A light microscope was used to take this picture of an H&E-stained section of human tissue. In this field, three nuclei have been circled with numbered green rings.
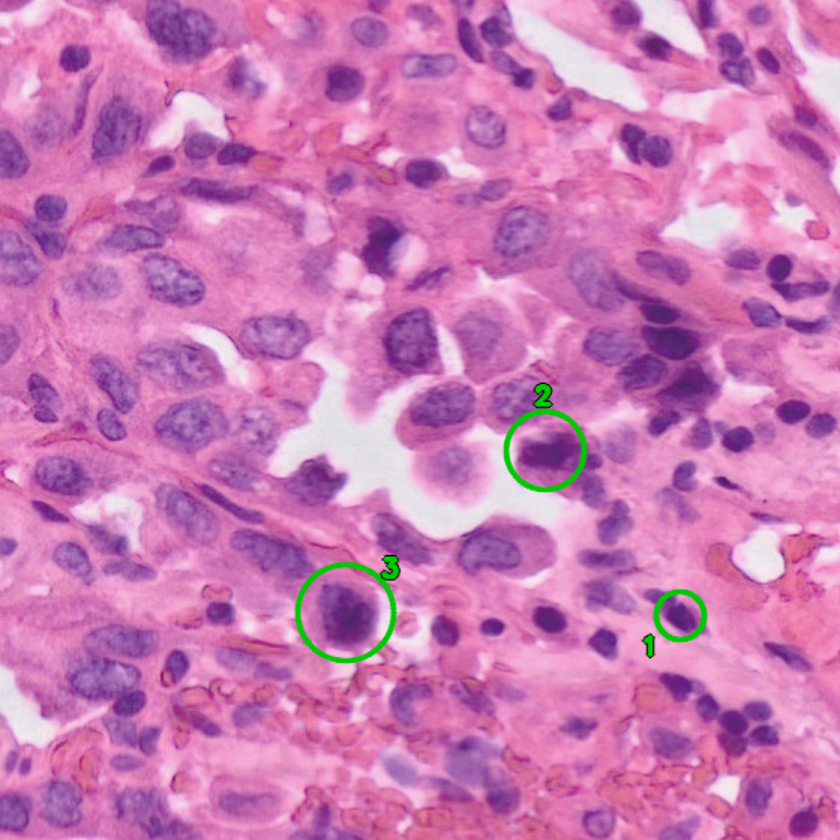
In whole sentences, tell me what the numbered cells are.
Cell 1 is a plasma cell. Cells 2 and 3 are carcinoma cells.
